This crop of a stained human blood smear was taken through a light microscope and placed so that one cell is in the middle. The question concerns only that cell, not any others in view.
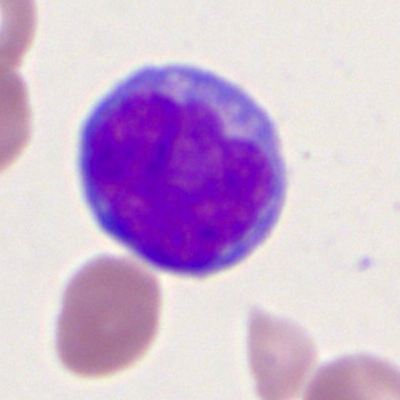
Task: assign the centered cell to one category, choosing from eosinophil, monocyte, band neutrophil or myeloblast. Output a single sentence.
Regarding the central cell, it is a myeloblast.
